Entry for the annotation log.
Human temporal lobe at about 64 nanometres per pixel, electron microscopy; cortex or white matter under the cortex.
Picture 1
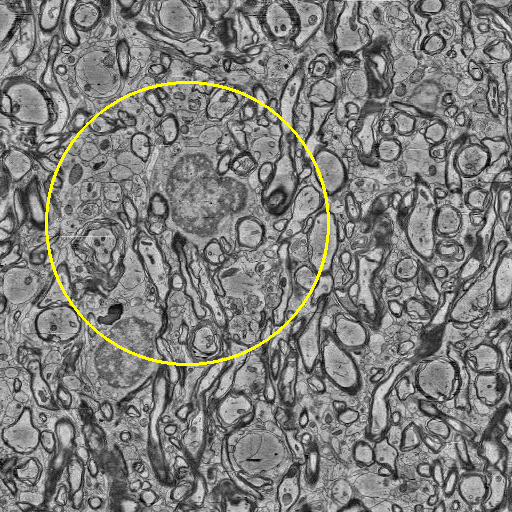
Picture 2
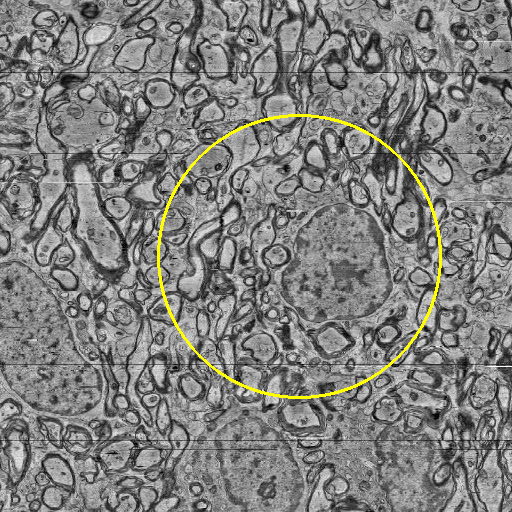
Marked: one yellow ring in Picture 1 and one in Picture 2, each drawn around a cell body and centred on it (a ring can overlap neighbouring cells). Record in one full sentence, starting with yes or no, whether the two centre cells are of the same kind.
No, the two cells are of two kinds.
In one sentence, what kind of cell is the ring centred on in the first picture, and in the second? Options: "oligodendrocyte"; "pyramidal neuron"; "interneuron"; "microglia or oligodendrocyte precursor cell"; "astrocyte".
The cell at the centre of the second ring is a microglial cell or oligodendrocyte precursor cell; the first ring's cell is an oligodendrocyte.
